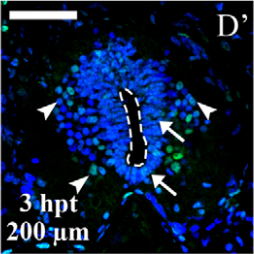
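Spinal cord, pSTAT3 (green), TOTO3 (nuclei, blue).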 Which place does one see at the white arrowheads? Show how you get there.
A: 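Grey matter. The arrowheads point to scattered green nuclei lateral to the dense periventricular band. These nuclei lie more loosely spaced than those near the slit.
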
